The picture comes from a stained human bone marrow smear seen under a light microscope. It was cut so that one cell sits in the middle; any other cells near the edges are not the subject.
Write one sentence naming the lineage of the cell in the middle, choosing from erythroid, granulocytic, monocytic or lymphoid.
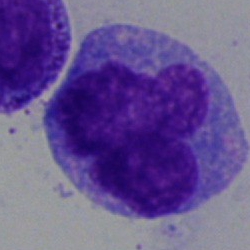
Here the cell at the center is of the monocytic lineage.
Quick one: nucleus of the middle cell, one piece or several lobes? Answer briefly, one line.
We find a nucleus divided into at least two lobes.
